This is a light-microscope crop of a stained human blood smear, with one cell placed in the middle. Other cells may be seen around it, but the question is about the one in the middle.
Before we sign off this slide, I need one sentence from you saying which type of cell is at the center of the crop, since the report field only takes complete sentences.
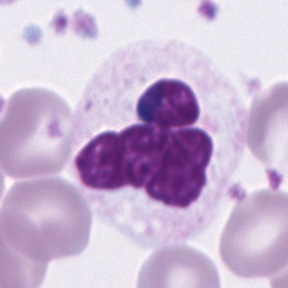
The cell of interest, in the center, is a neutrophil.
